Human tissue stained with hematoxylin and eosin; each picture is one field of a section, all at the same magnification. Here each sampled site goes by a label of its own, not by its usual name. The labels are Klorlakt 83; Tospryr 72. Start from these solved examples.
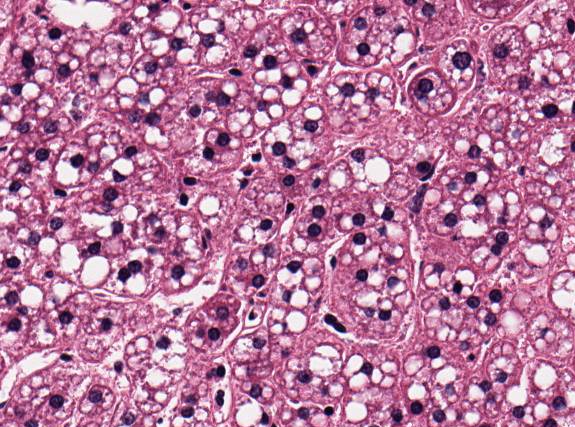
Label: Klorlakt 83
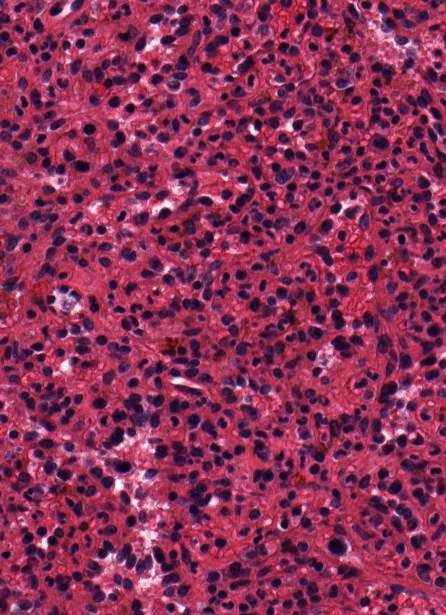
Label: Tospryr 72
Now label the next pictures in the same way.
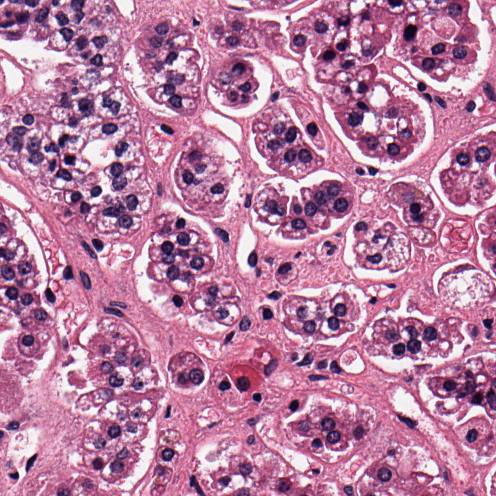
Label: Klorlakt 83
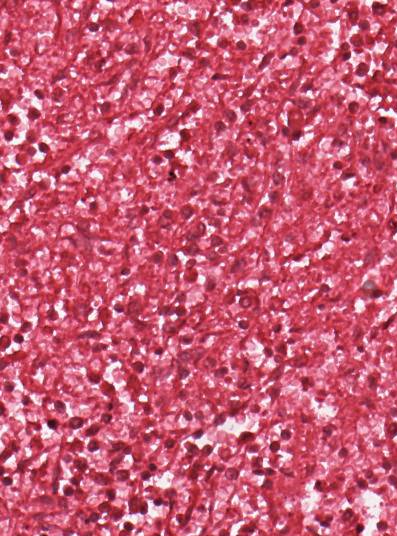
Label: Tospryr 72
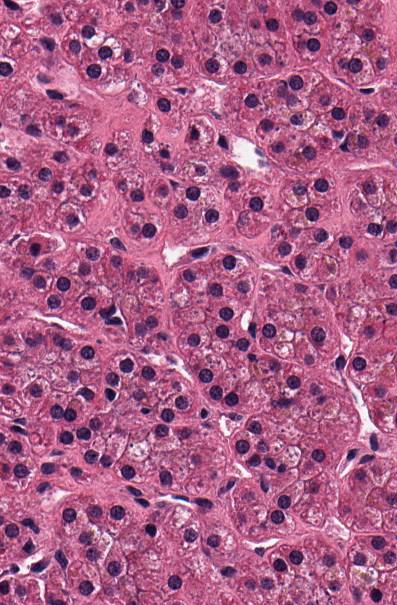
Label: Klorlakt 83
